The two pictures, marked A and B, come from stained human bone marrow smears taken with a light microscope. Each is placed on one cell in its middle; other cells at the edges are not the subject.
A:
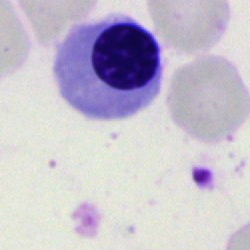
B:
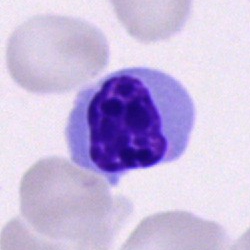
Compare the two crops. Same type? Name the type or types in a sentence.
Yes, both of the crops in this pair show erythroblasts, one cell in each crop.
